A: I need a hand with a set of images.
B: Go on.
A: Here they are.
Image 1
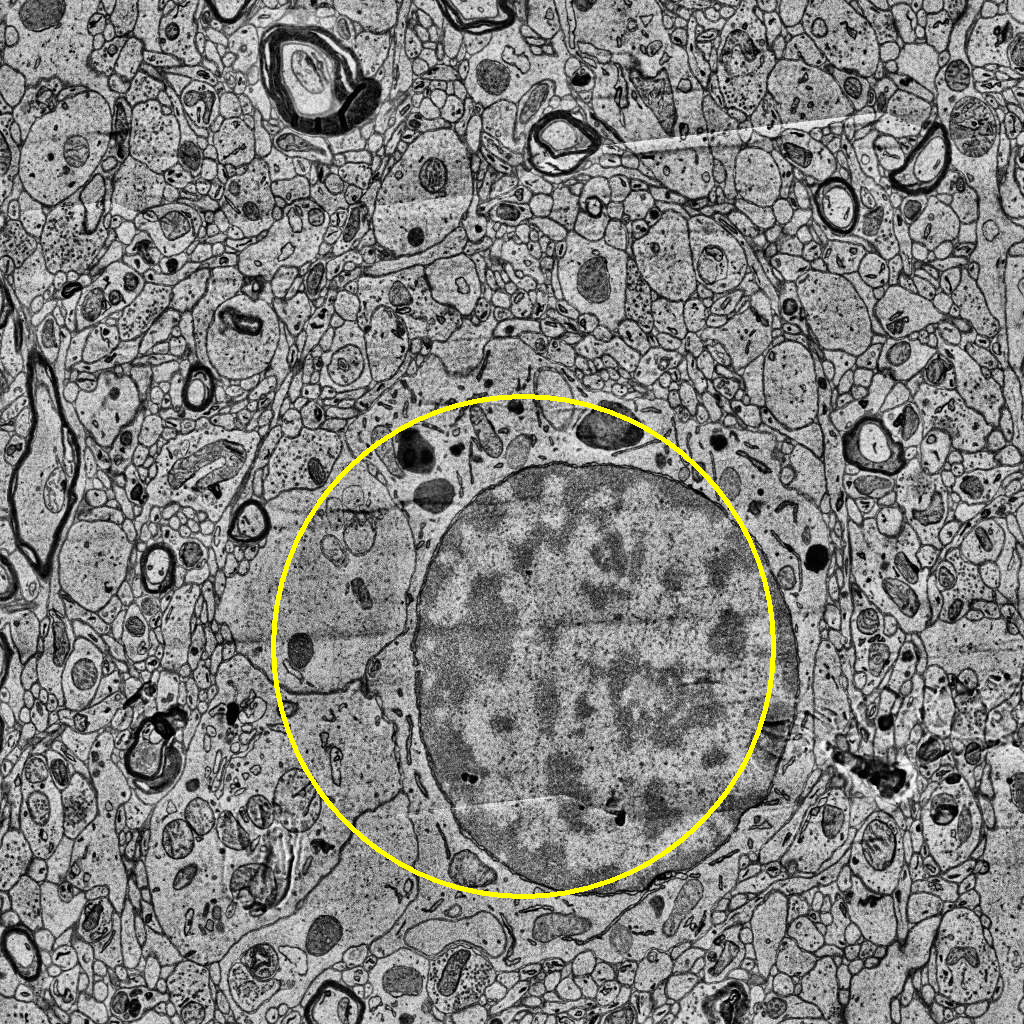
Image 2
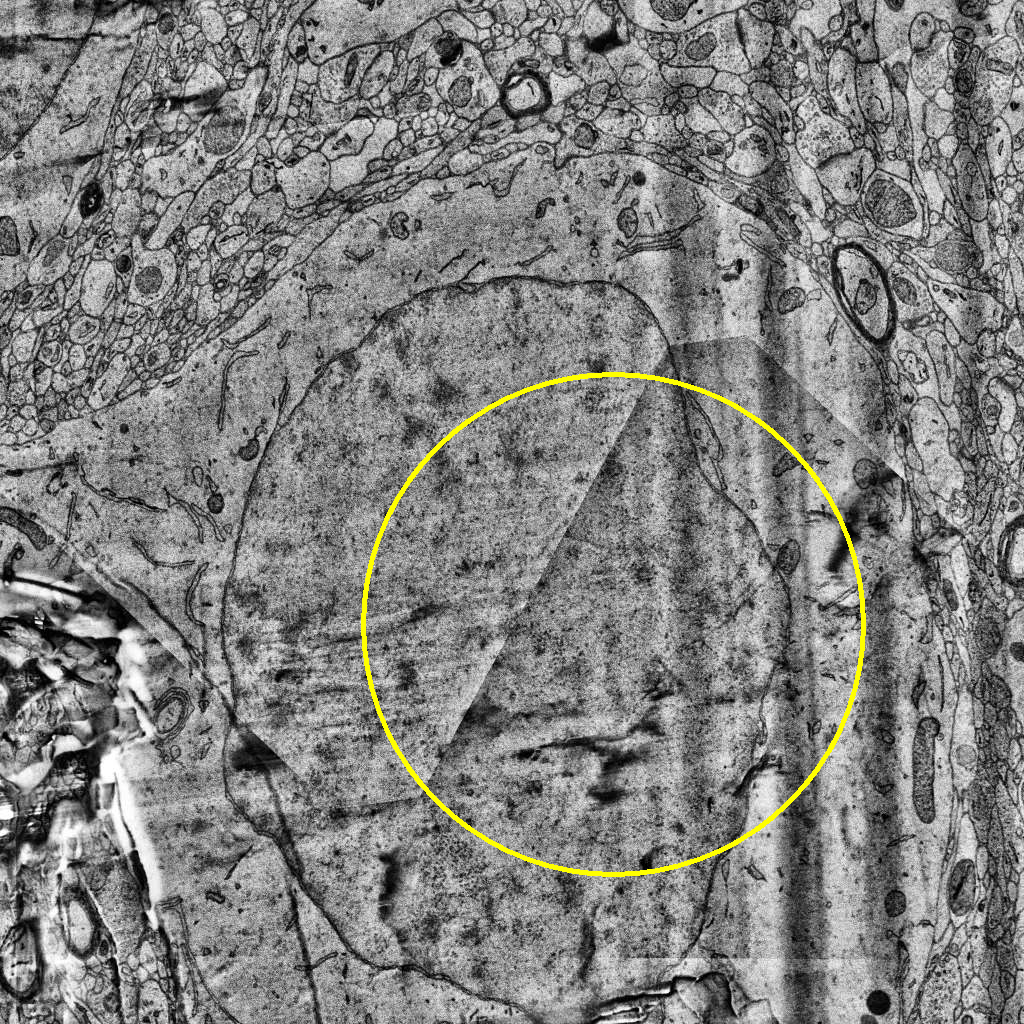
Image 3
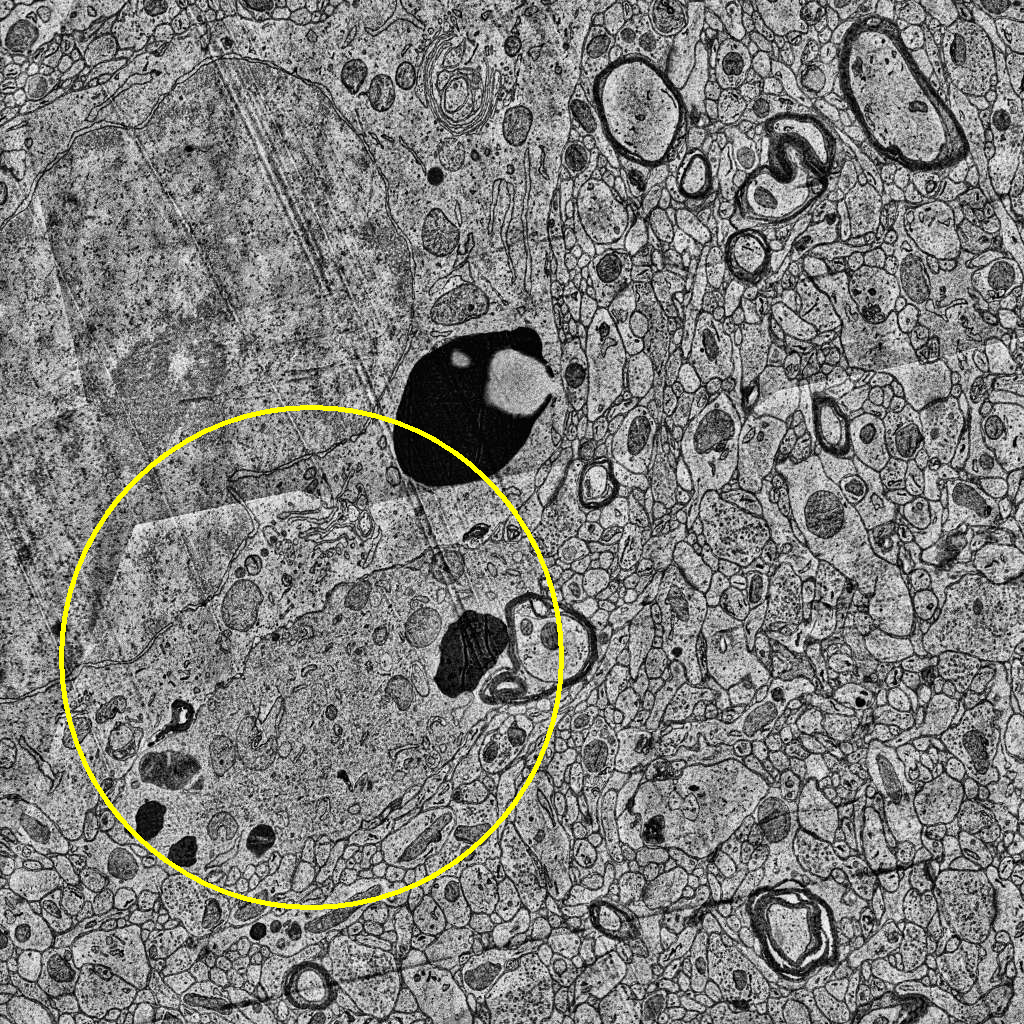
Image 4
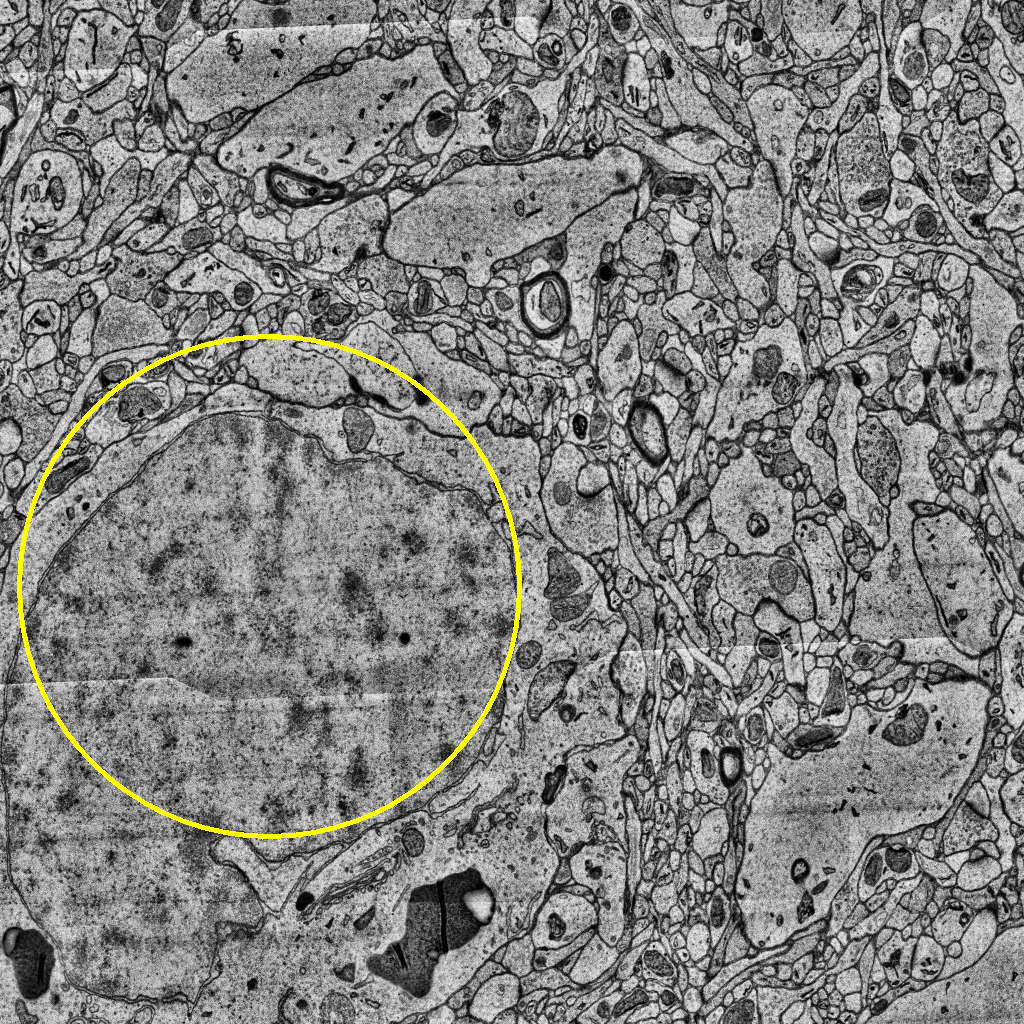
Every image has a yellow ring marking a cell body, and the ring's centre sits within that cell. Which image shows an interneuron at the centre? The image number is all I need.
4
